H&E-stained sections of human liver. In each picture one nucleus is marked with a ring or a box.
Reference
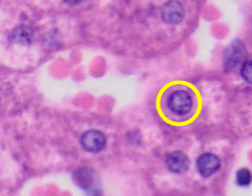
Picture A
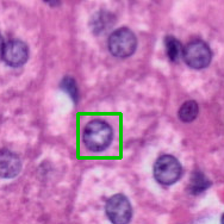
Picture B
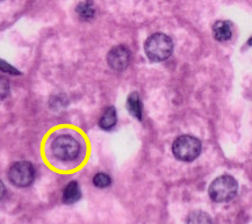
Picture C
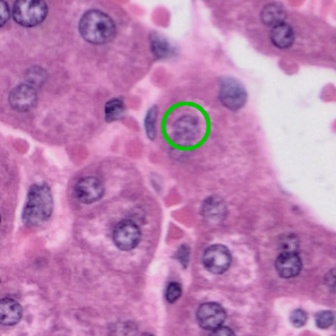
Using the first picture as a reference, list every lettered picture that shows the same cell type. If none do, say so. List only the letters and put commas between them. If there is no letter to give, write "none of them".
A, B, C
